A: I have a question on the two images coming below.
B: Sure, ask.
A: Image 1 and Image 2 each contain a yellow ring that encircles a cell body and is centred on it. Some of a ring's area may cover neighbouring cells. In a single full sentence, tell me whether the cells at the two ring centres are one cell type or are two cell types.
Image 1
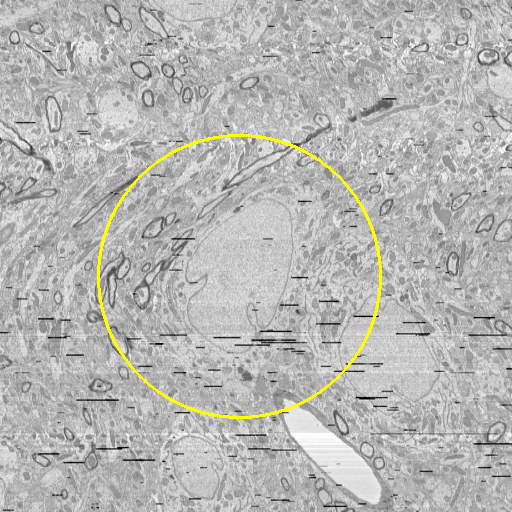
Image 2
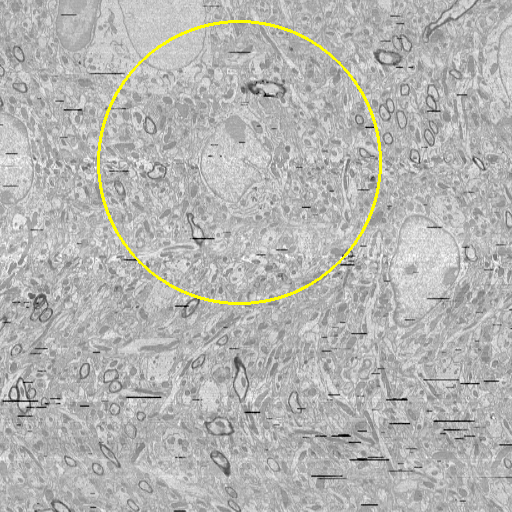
As for the ring-centre cells, the one in Image 1 and the one in Image 2 are two cell types.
